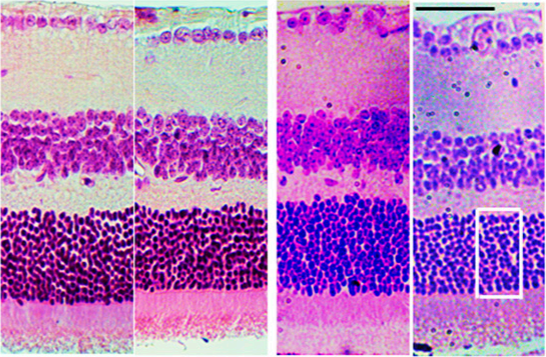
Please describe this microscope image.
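These are sections of the retina with its layers stacked from top to bottom. At the top, the ganglion cell layer holds a single, loose row of round nuclei. Below it is the broad, pale pink, finely fibrillar inner plexiform layer. Next comes the inner nuclear layer, several rows of purple to blue nuclei. A narrow pale band, the outer plexiform layer, separates it from the outer nuclear layer. That is the thickest cellular band, made of many rows of small, round, dark, tightly packed nuclei. At the bottom, a pale pink, vertically striated band holds the photoreceptor inner and outer segments.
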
